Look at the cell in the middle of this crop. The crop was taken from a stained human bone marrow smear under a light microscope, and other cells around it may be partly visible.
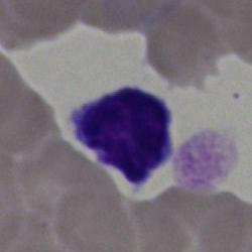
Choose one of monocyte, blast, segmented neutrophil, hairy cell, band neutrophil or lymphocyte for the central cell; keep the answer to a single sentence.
What the crop centres on is a lymphocyte.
